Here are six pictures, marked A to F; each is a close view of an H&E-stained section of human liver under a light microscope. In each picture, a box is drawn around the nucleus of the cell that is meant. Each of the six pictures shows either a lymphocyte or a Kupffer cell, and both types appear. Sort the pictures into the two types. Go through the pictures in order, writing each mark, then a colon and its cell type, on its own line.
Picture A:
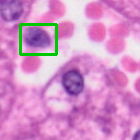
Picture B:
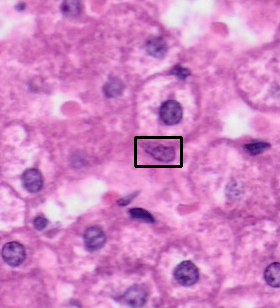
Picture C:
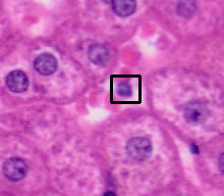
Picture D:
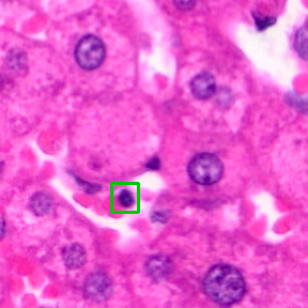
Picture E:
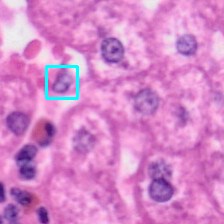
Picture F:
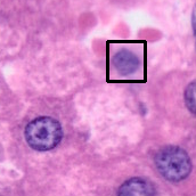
A: Kupffer cell
B: Kupffer cell
C: lymphocyte
D: lymphocyte
E: Kupffer cell
F: Kupffer cell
